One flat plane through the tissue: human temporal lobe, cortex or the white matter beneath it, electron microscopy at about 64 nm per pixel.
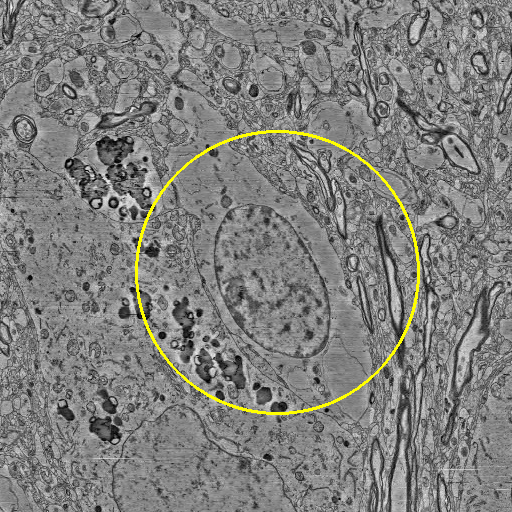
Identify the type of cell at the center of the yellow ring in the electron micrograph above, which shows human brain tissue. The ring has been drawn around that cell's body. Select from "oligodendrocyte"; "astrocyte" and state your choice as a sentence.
The yellow ring is centered on the body of an astrocyte.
